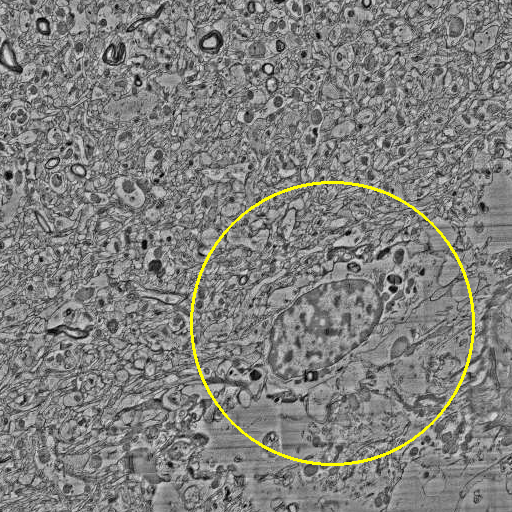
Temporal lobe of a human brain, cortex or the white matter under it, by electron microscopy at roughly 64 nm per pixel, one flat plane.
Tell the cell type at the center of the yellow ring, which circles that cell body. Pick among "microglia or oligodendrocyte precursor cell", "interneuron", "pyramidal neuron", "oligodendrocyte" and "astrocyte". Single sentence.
The ring is centered on the body of a microglial cell or oligodendrocyte precursor cell.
